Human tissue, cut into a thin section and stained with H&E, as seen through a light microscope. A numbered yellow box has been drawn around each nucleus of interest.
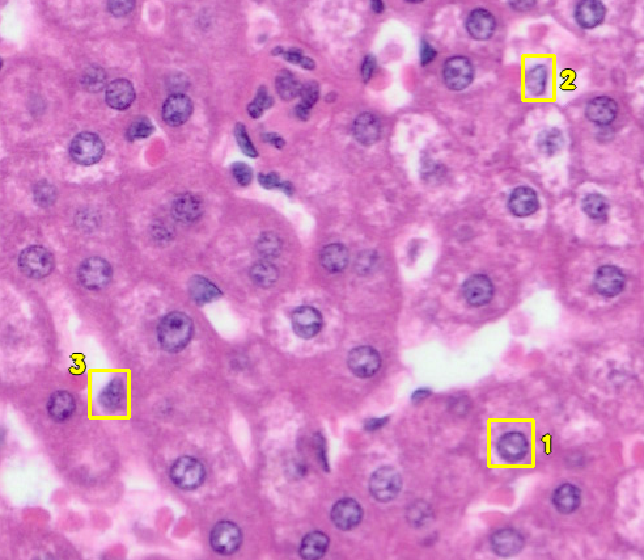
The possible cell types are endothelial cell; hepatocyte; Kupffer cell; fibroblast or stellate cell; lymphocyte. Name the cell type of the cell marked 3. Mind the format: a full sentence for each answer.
The one labeled 3 is an endothelial cell, to put it simply.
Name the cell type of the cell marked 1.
The correct answer for cell 1 is a hepatocyte.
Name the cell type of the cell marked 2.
The cell marked with number 2 is a Kupffer cell.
